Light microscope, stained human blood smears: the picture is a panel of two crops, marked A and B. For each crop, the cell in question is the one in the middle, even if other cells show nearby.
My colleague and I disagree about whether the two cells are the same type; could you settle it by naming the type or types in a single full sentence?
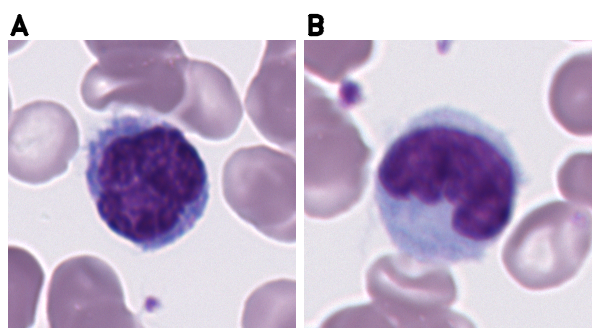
Yes, what both crops show is monocytes.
